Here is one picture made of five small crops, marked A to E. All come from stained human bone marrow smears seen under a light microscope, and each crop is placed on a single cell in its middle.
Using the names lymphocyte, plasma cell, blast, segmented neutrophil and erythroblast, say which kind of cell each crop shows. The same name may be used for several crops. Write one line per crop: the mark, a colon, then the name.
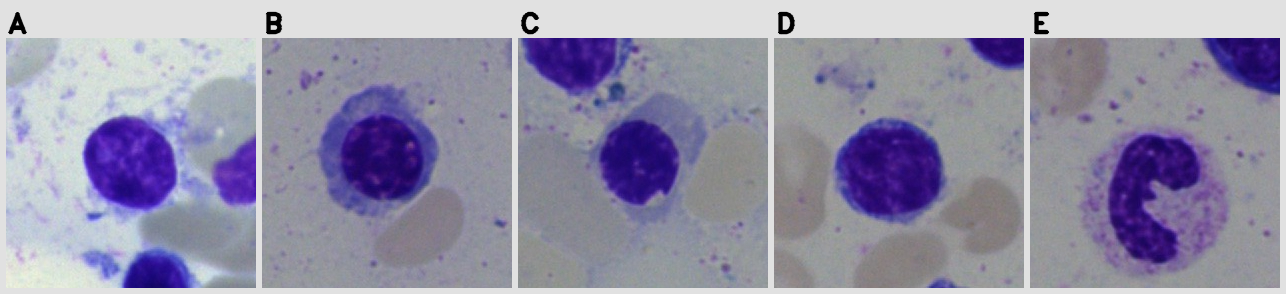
A: lymphocyte
B: erythroblast
C: erythroblast
D: lymphocyte
E: segmented neutrophil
